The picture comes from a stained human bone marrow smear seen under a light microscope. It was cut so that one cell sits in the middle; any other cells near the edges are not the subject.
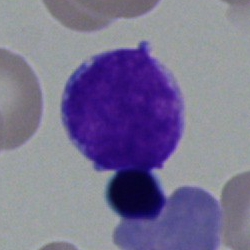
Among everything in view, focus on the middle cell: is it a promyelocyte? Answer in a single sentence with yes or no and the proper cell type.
No, in the centre of the crop lies a blast, not a promyelocyte.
